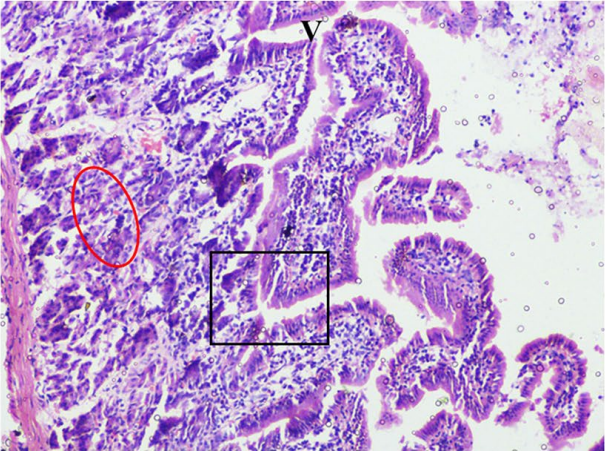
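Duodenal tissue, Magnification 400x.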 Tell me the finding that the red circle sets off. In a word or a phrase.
inflammatory cell infiltration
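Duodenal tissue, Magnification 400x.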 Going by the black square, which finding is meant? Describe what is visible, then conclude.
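Crypt disorganization. The surrounding mucosa lacks the orderly, evenly spaced arrangement of glands near the muscle layer.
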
